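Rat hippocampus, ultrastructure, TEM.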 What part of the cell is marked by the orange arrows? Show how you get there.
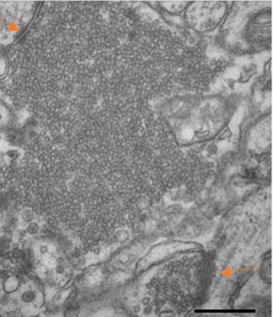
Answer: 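Postsynaptic density. The arrows point to dark thickened patches along membranes. A large cluster of small round vesicles lies next to one of the marked patches.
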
